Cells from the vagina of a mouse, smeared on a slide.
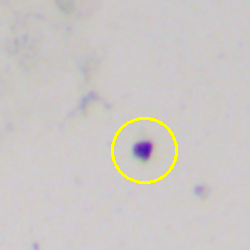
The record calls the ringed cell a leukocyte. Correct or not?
Correct; it is a leukocyte.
